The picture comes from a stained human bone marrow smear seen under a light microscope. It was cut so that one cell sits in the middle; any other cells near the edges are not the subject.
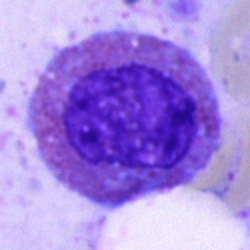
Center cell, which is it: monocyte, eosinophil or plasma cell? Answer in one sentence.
The cell occupying the middle of the crop is an eosinophil.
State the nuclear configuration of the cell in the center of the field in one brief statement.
The cell carries one compact nucleus shaped round, oval or like a kidney.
